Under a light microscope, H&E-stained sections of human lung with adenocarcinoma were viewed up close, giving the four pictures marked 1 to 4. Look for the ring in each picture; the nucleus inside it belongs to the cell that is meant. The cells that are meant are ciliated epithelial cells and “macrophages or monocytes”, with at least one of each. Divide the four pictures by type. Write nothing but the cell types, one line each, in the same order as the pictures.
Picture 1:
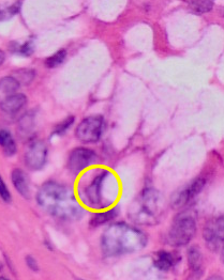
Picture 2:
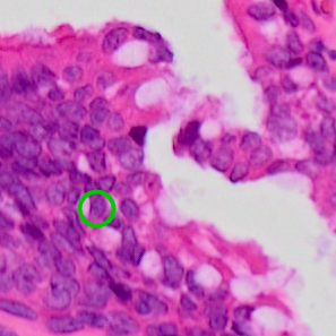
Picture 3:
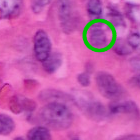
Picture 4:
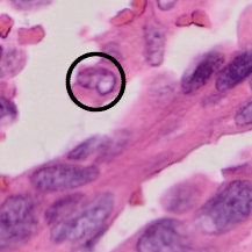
ciliated epithelial cell
ciliated epithelial cell
ciliated epithelial cell
macrophage or monocyte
